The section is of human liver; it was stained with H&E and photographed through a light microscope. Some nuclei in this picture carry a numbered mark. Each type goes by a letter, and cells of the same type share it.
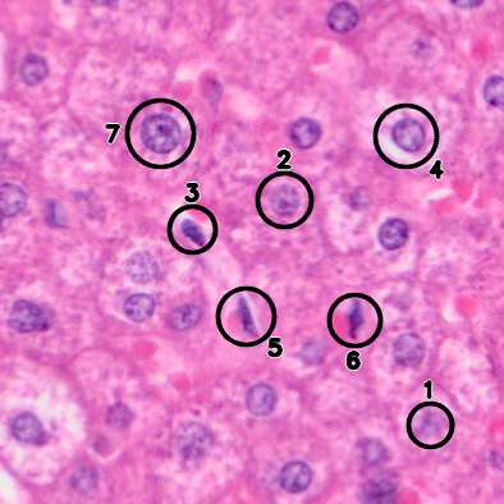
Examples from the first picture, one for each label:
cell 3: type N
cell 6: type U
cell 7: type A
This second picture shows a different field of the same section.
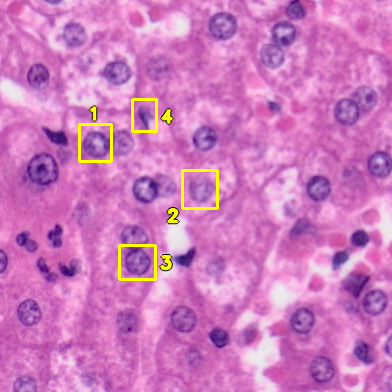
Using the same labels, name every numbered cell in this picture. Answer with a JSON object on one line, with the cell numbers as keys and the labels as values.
{"1": "type A", "2": "type A", "3": "type A", "4": "type U"}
